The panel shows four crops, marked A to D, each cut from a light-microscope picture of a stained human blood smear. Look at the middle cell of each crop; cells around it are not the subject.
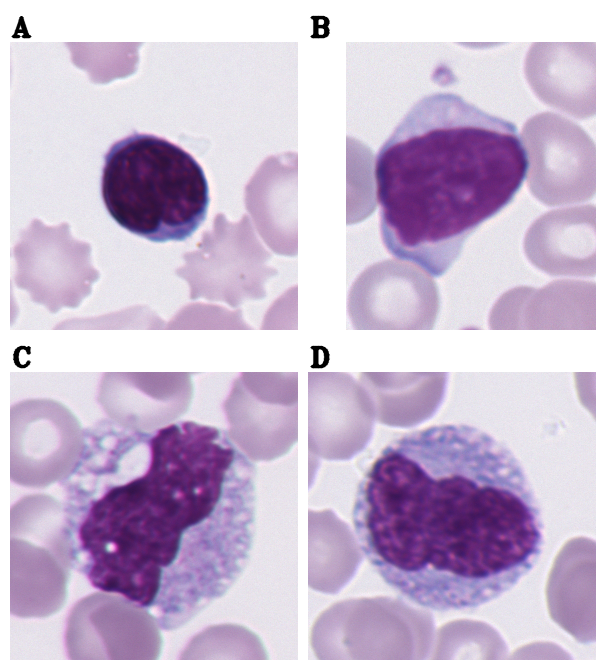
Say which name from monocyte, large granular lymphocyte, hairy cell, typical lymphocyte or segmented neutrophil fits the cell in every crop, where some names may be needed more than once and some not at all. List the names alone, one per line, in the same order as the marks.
typical lymphocyte
typical lymphocyte
monocyte
monocyte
